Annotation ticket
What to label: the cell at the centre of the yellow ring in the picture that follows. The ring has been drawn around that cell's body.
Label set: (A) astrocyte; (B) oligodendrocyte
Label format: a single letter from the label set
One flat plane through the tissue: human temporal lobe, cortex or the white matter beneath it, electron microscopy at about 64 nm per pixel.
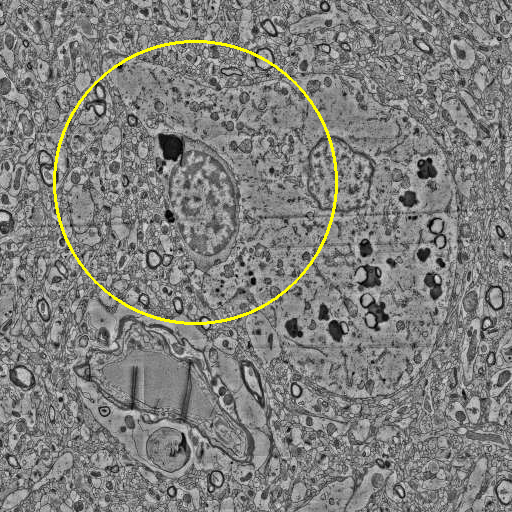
B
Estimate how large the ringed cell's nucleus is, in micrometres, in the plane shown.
In this plane the nucleus spans approximately 7 by 5 micrometers.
